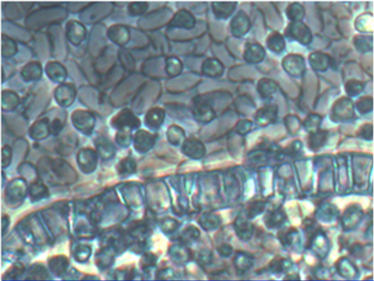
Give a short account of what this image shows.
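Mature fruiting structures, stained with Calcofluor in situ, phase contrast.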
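A band of rectangular, thick-walled compartments lined up in a row crosses the field from left to right. On both sides lie many small cells, some oval and some rounder, crowded together and partly overlapping. The row of compartments is the stalk made of stalk cells, and the small cells around it are spores.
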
